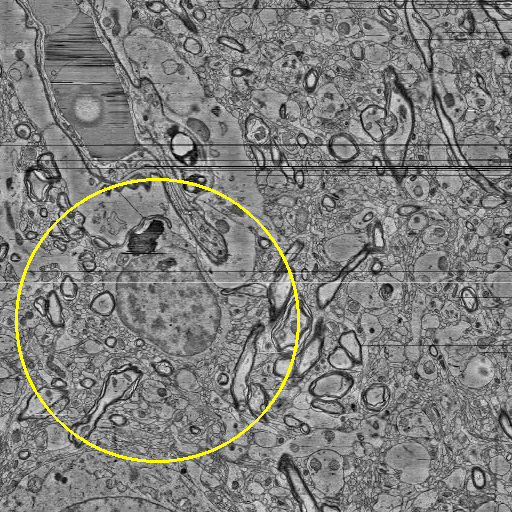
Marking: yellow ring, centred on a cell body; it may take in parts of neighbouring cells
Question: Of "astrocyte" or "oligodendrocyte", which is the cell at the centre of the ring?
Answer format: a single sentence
The ring surrounds the body of an oligodendrocyte.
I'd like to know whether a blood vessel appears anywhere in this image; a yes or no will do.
Yes, the image shows a blood vessel.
